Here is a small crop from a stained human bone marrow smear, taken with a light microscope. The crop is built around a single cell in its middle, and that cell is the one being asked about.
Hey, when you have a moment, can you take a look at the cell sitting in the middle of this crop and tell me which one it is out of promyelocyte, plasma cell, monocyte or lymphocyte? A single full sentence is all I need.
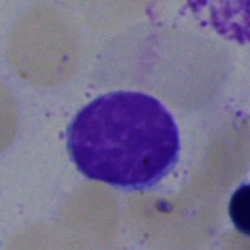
In this crop, the cell at the very middle is a lymphocyte.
